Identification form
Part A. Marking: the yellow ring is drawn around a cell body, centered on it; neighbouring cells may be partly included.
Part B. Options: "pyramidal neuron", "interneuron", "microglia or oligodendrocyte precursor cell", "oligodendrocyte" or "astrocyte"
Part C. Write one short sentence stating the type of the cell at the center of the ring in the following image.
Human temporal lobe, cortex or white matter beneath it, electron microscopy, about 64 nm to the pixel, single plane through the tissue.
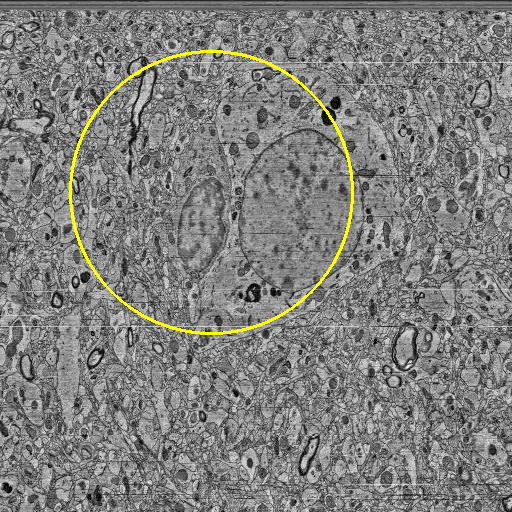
The center of the ring holds an oligodendrocyte.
